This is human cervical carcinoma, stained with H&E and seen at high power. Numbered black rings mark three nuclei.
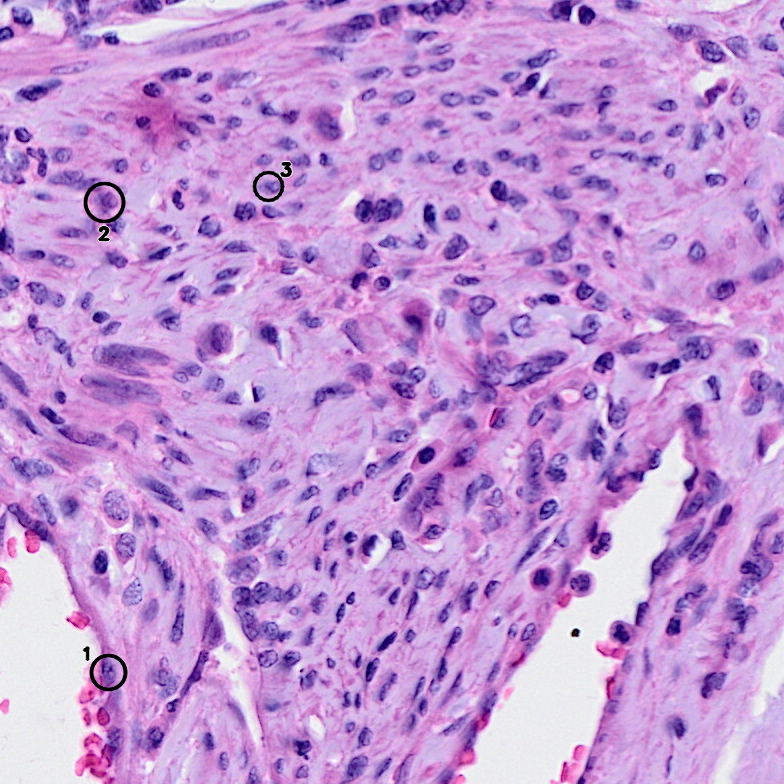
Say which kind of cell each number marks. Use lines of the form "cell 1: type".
cell 1: endothelial cell
cell 2: macrophage or monocyte
cell 3: smooth muscle cell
